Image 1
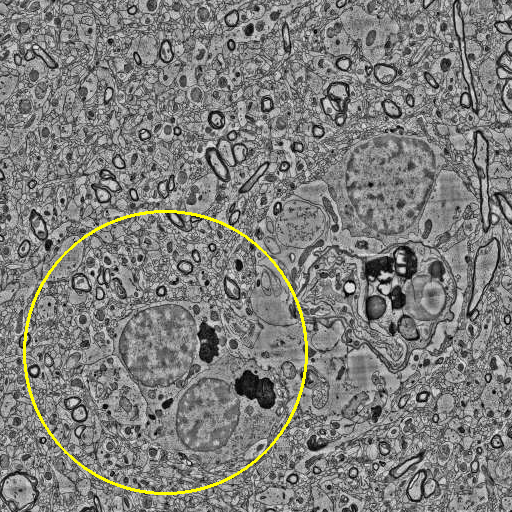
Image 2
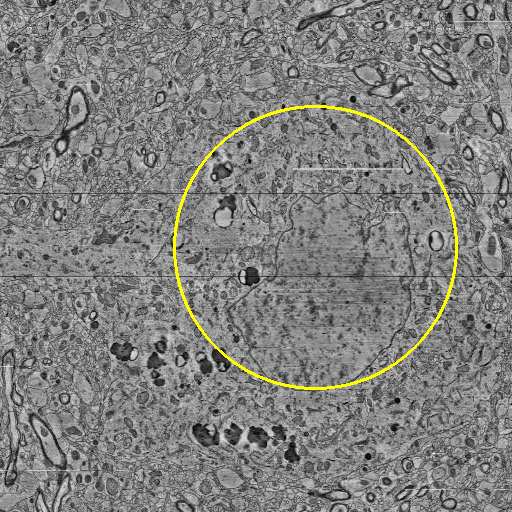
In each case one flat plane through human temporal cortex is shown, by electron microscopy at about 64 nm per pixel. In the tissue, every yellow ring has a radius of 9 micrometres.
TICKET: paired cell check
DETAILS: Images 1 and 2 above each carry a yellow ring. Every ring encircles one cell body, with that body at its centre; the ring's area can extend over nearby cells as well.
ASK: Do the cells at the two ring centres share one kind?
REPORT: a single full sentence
No, the ring-centre cells of Images 1 and 2 belong to two kinds.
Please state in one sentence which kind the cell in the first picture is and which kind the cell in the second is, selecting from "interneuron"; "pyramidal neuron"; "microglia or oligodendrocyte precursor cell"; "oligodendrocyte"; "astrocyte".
The first ringed cell is an oligodendrocyte, the second ringed cell a pyramidal neuron.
